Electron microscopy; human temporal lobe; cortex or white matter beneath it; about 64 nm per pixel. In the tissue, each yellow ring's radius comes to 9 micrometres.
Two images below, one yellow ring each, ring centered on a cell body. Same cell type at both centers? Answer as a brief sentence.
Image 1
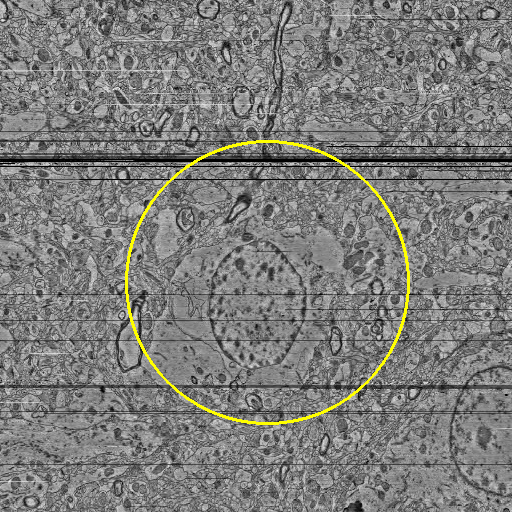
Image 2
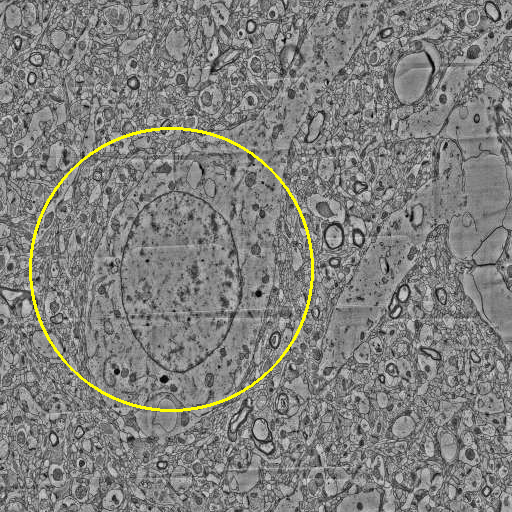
No, the cells are of two separate types.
